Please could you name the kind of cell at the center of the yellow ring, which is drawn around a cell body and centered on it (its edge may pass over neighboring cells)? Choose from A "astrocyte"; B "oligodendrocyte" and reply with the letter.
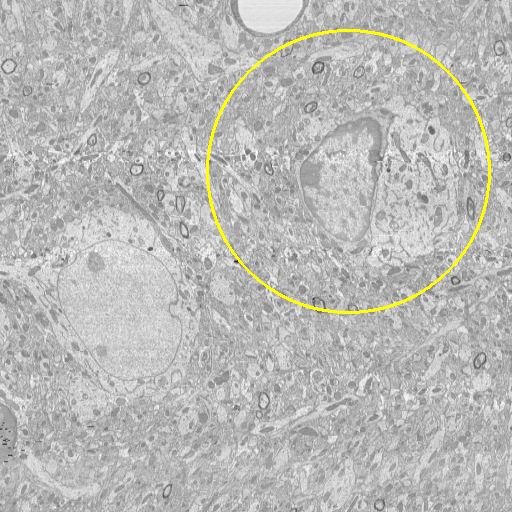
B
